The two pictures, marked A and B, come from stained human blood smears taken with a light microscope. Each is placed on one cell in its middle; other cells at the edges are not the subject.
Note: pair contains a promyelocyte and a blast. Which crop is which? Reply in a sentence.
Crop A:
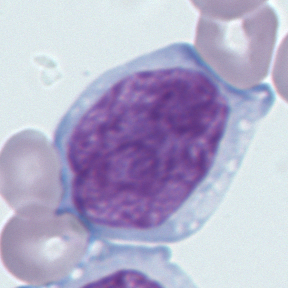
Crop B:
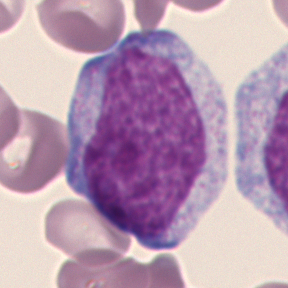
So, crop A is a blast, and crop B is a promyelocyte.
